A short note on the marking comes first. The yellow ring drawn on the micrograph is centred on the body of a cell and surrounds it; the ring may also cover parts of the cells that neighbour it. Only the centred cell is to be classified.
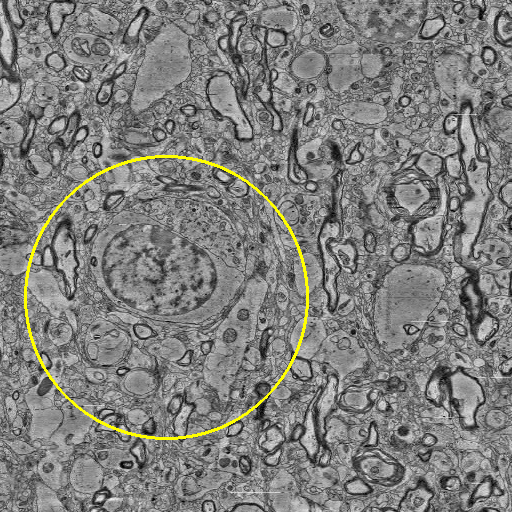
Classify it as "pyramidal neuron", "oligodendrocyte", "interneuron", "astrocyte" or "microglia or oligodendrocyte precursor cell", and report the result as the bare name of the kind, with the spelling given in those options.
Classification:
microglia or oligodendrocyte precursor cell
